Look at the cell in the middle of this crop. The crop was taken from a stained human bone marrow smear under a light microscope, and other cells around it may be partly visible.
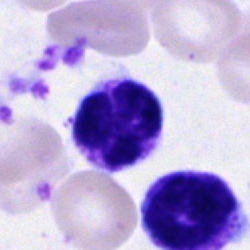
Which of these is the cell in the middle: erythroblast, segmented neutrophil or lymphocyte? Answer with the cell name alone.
segmented neutrophil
